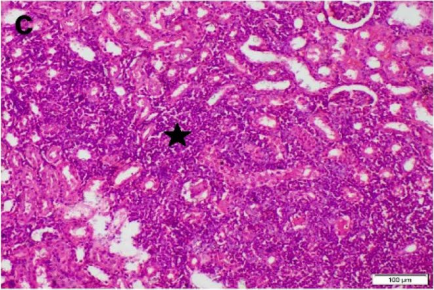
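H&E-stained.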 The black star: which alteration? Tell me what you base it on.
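A large field of densely packed small dark-purple nuclei lies between the tubules. The normal tubular outlines are obscured where the dense cells gather.
Hence: interstitial inflammatory cells infiltration.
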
